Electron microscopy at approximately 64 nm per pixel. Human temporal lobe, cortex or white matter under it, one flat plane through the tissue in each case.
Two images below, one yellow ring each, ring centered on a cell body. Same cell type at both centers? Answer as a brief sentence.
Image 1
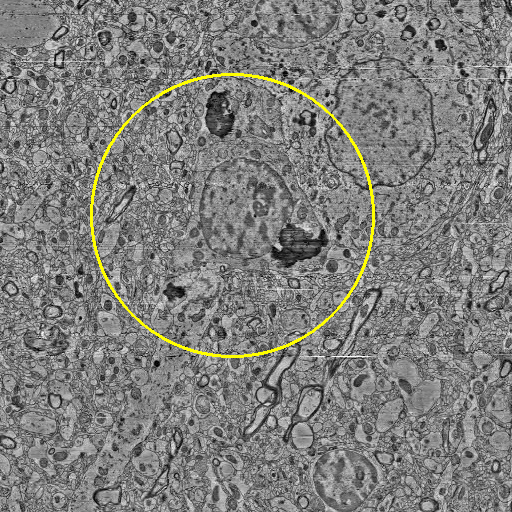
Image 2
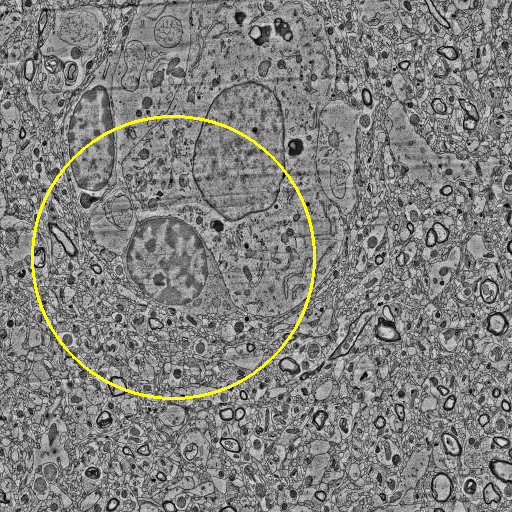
Yes, both cells are of the same type.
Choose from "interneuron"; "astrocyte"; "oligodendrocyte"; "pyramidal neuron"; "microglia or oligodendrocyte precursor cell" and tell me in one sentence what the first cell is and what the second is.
In the first picture and in the second, the ring is centred on an oligodendrocyte.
